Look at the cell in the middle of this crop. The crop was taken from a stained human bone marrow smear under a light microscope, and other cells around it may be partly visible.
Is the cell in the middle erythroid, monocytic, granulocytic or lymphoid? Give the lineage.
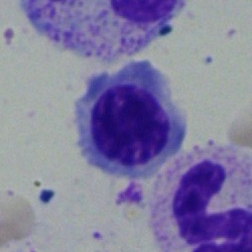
erythroid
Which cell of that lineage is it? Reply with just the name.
erythroblast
